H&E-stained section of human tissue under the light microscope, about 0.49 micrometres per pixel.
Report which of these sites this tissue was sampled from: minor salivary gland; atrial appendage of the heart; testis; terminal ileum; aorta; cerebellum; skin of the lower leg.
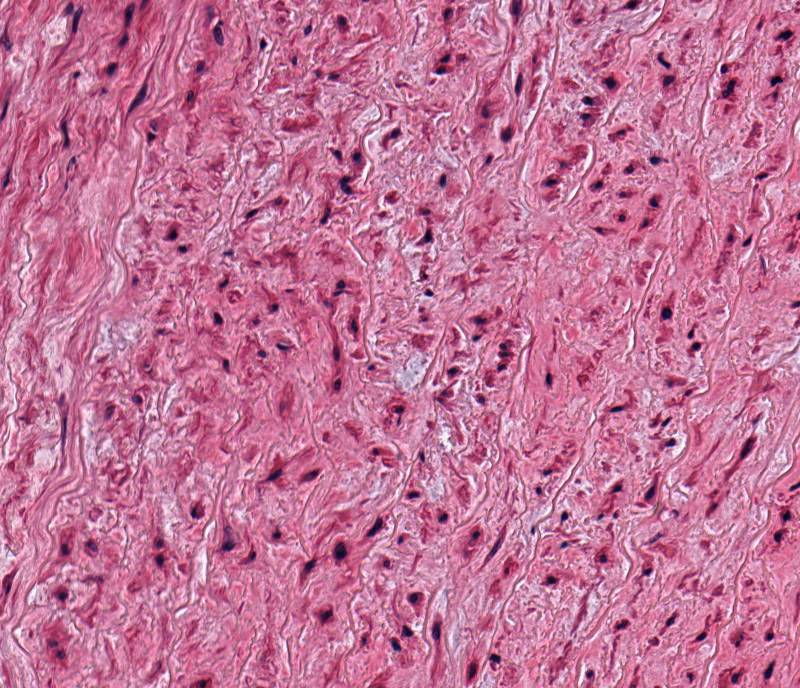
aorta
